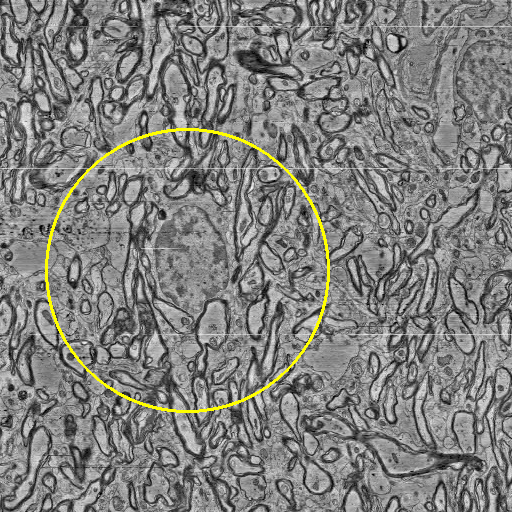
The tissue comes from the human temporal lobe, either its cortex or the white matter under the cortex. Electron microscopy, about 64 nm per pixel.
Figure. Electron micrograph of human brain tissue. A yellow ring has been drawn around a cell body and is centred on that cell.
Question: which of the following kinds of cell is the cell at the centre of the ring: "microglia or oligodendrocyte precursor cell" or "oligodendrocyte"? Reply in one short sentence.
The cell at the centre of the ring is an oligodendrocyte.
